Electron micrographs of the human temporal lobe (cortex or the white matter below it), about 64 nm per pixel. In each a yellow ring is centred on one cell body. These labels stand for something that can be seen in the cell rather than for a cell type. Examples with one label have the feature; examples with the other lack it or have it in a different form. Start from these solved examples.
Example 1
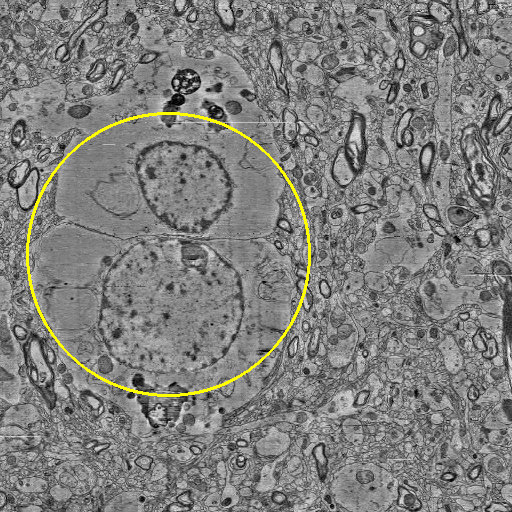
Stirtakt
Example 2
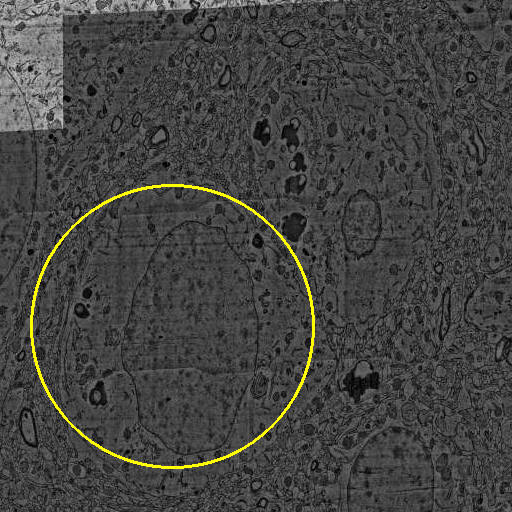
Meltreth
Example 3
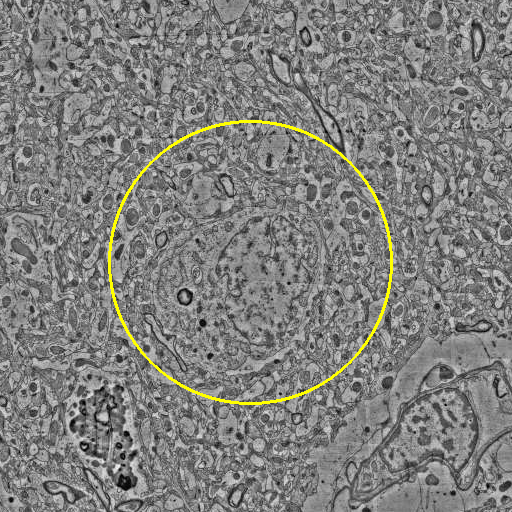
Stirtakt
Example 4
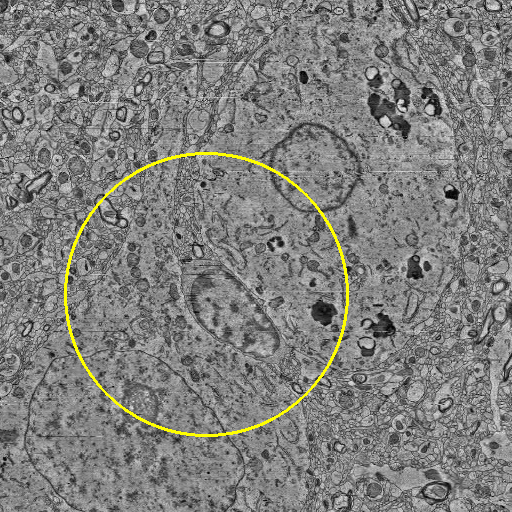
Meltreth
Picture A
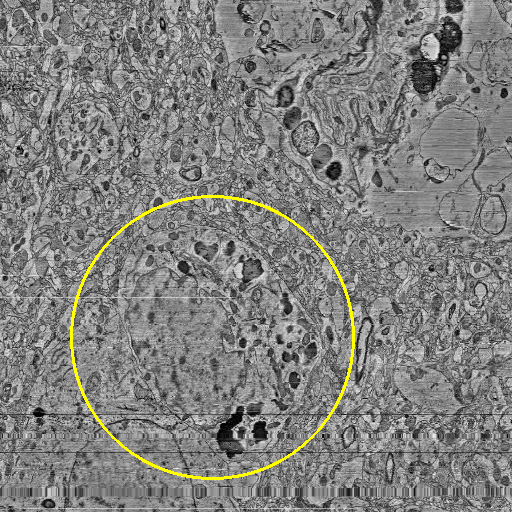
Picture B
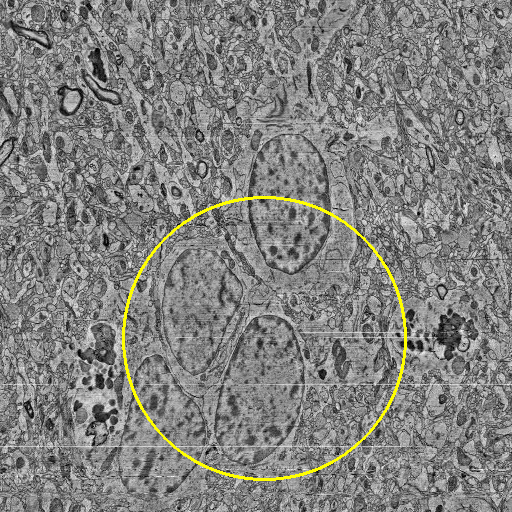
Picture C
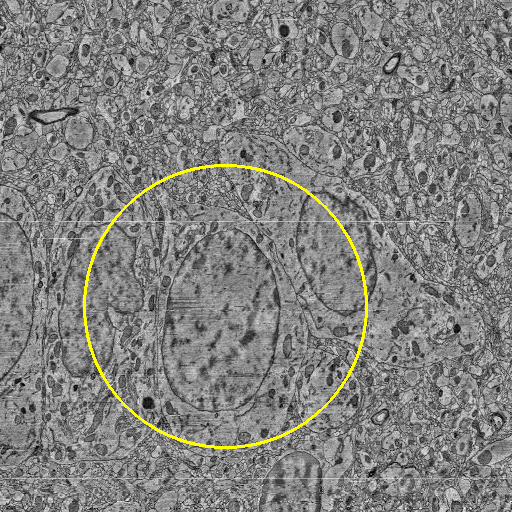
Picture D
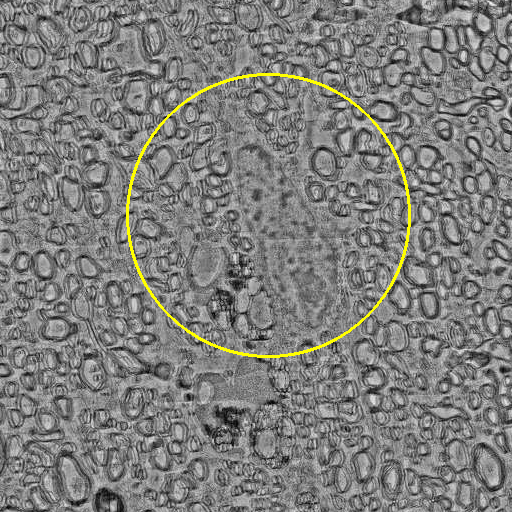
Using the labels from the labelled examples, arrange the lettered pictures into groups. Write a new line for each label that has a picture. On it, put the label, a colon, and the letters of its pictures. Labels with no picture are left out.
Stirtakt: A
Meltreth: B, C, D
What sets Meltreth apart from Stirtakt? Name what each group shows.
In Meltreth: clearly elongated nuclei. In Stirtakt: round or nearly round nuclei.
